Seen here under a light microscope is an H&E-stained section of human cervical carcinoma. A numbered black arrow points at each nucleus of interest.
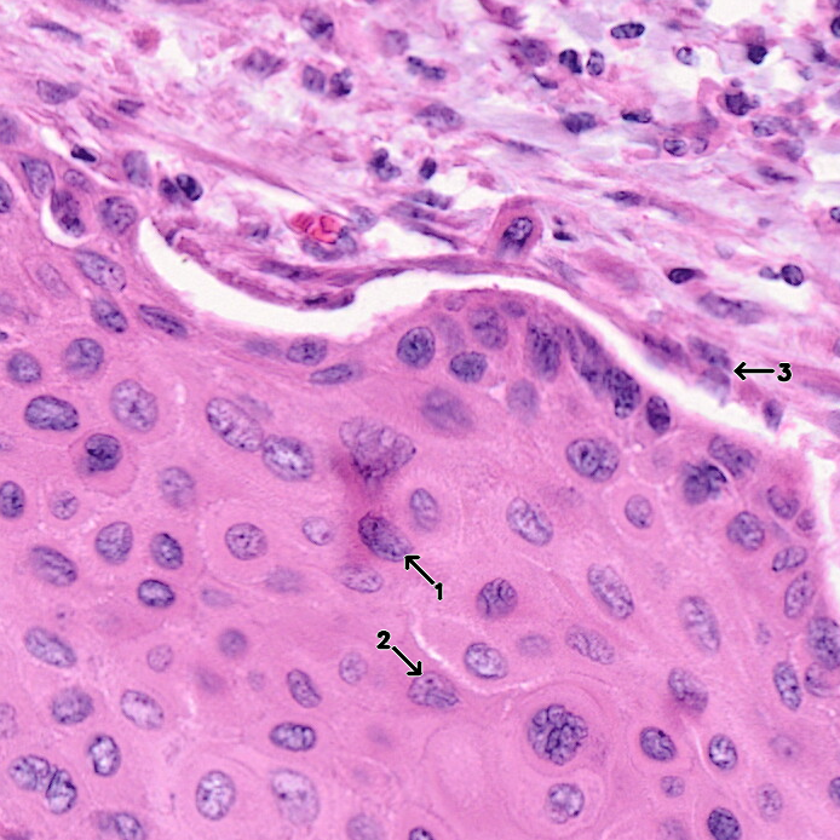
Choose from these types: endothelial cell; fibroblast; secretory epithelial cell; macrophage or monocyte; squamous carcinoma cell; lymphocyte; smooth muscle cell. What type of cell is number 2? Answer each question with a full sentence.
The marked nucleus 2 is that of a squamous carcinoma cell.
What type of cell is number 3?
The cell indicated with the number 3 is classed as a fibroblast.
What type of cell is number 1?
In this section, the cell numbered 1 is a squamous carcinoma cell.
